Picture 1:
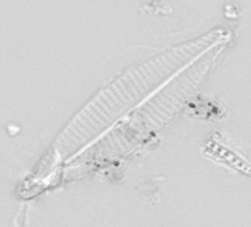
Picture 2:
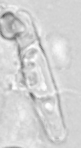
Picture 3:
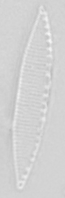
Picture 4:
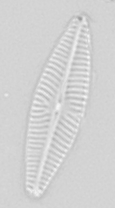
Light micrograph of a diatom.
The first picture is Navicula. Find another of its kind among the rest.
Picture 4.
